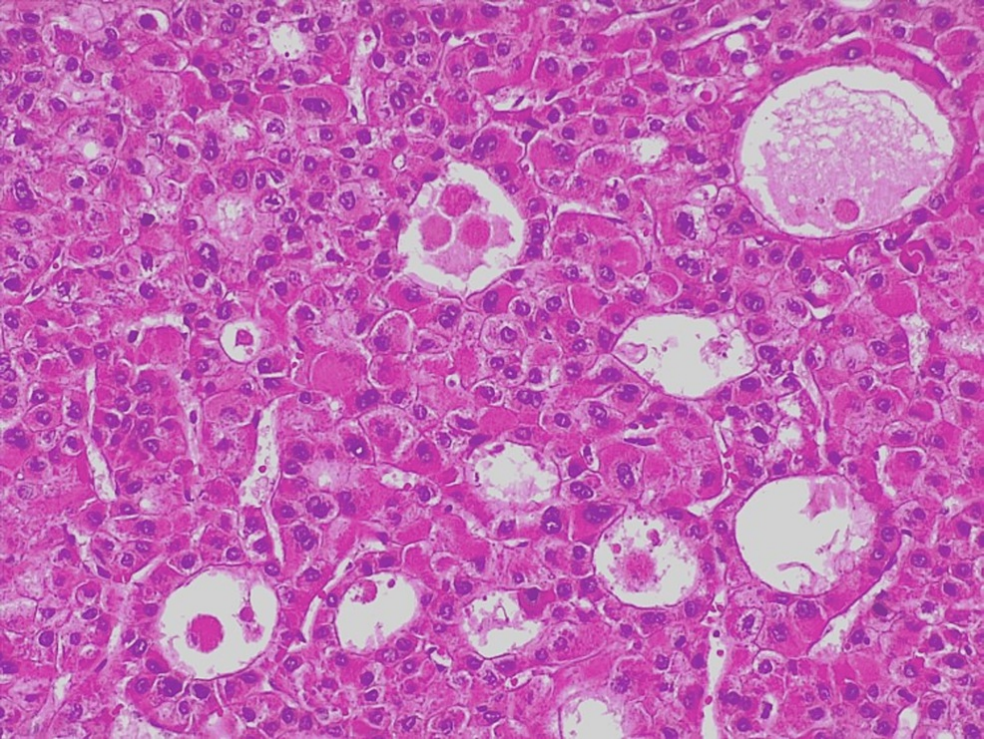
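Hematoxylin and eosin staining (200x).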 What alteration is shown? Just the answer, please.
Hepatocellular carcinoma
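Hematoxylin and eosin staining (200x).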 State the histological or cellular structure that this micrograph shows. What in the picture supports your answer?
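Pseudoacinar morphology. Many round gland-like spaces are lined by a rim of tumour cells. The spaces hold pale pink, flocculent material. Some spaces contain round dense pink globules.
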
